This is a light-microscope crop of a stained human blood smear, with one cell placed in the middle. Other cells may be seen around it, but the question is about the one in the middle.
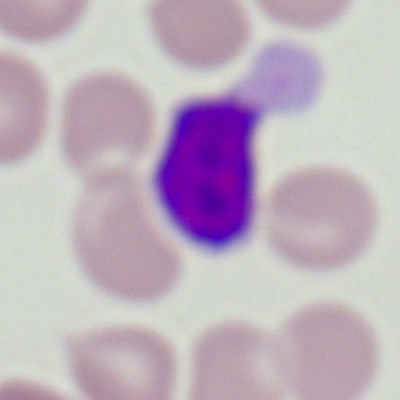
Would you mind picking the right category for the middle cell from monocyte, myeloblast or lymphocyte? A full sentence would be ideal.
By classification, the middle cell of this crop is a lymphocyte.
